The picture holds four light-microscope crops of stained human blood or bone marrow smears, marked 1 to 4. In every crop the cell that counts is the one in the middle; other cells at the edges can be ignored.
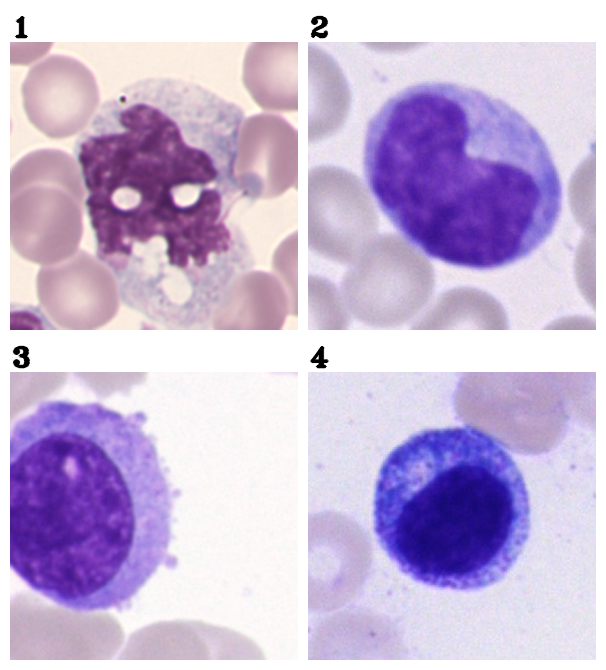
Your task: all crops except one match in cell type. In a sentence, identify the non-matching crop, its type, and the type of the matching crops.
In every crop except crop 4, which shows a myelocyte, monocytes are shown.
